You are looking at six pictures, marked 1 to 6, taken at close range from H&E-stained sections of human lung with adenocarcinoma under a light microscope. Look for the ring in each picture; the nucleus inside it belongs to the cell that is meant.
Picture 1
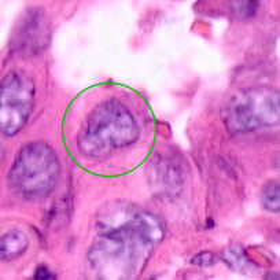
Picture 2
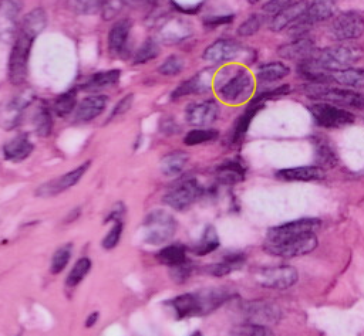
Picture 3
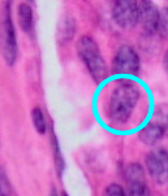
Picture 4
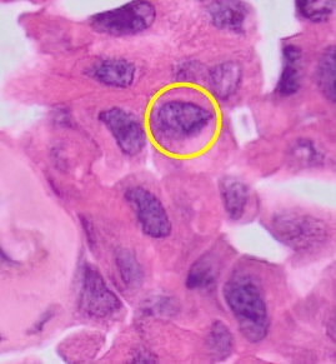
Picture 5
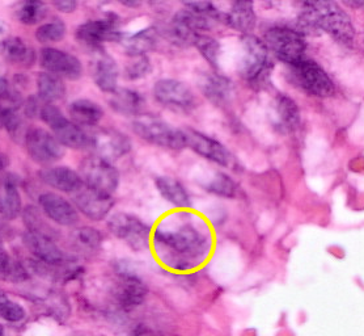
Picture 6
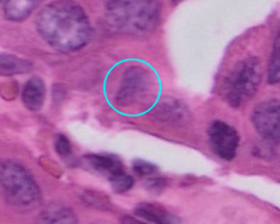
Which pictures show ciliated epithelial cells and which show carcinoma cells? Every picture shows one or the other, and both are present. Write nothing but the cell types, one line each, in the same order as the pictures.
carcinoma cell
ciliated epithelial cell
ciliated epithelial cell
carcinoma cell
ciliated epithelial cell
carcinoma cell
